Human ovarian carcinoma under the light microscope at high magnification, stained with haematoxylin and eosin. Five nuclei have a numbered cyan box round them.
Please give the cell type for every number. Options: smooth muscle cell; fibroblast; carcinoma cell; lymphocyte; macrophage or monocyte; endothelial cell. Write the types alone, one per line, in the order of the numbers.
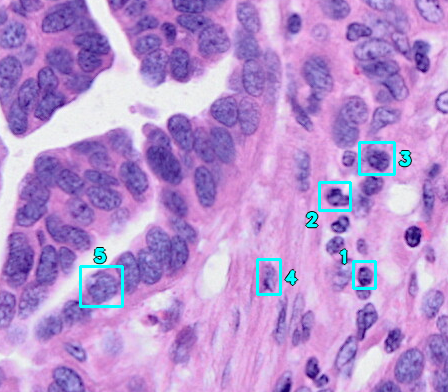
lymphocyte
lymphocyte
lymphocyte
fibroblast
carcinoma cell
